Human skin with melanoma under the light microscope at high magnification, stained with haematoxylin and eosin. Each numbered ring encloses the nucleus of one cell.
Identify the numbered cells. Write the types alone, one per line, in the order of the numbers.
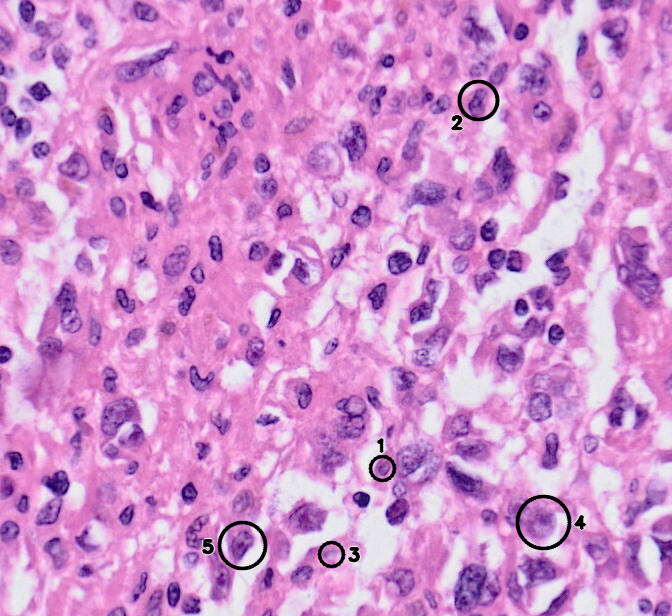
macrophage or monocyte
macrophage or monocyte
macrophage or monocyte
melanoma cell
melanoma cell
